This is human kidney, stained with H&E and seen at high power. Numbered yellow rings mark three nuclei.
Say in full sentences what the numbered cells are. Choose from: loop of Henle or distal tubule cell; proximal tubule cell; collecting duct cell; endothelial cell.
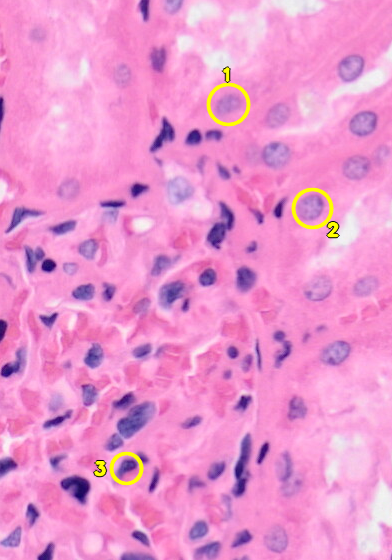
Cells 1 and 2 are proximal tubule cells. Cell 3 is an endothelial cell.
